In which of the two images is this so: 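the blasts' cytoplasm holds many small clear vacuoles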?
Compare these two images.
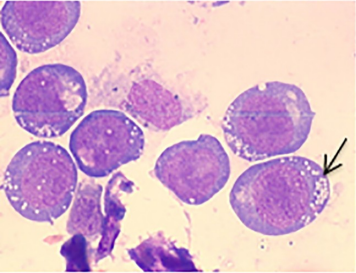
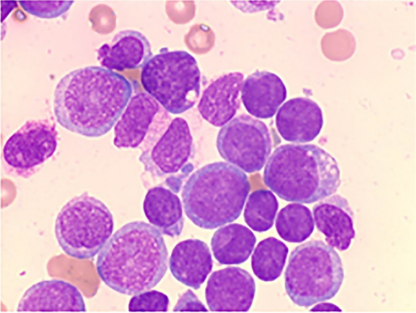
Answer: The first image.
